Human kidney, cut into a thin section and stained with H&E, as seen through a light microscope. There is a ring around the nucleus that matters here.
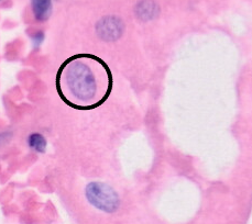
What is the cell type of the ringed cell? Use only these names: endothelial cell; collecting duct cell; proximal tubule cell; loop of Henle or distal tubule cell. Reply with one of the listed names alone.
proximal tubule cell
